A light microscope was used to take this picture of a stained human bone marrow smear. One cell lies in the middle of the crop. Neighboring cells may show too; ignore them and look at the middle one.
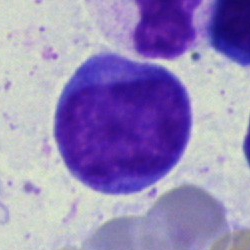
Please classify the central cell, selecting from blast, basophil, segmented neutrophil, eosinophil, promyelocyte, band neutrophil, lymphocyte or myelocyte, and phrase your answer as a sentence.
On this slide crop, the central cell is a blast.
